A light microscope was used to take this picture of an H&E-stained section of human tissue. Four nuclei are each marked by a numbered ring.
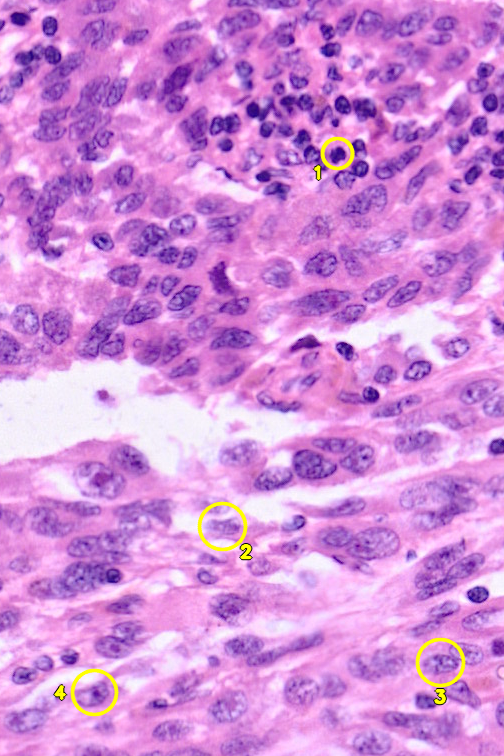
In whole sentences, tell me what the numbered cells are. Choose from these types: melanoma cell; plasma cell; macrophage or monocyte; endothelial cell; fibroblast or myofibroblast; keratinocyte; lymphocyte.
Cell 1 is a lymphocyte. Cells 2, 3 and 4 are melanoma cells.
